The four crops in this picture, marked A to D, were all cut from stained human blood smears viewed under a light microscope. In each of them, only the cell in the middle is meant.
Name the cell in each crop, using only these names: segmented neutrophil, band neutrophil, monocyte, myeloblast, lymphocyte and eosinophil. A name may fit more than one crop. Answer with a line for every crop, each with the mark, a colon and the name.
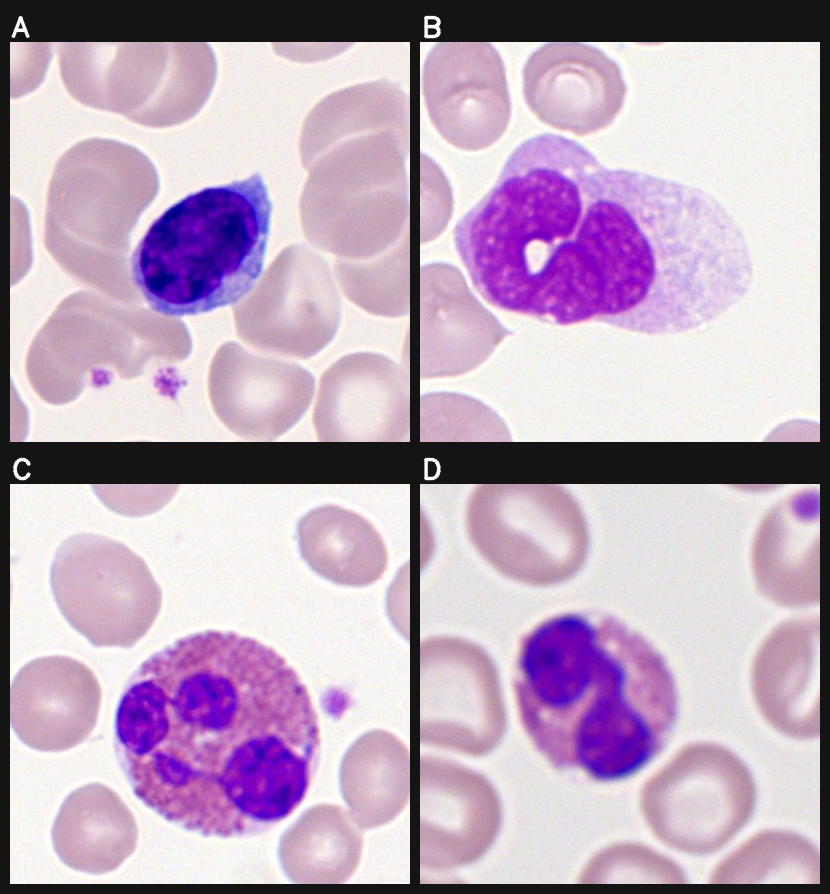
A: lymphocyte
B: monocyte
C: eosinophil
D: eosinophil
